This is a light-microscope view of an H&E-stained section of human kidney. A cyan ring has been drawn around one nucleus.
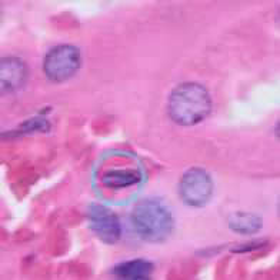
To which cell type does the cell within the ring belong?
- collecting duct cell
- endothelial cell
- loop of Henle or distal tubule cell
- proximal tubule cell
endothelial cell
